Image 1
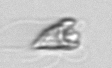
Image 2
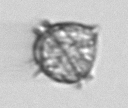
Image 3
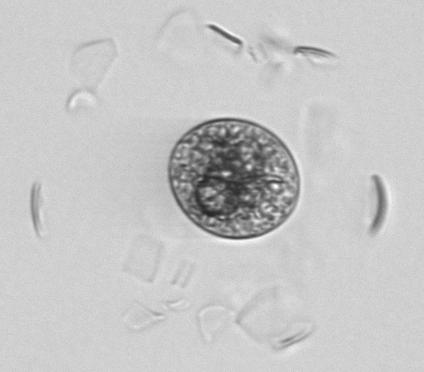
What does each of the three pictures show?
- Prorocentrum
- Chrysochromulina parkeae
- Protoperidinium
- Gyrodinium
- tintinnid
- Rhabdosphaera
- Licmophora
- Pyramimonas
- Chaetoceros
1. Pyramimonas
2. Protoperidinium
3. Prorocentrum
